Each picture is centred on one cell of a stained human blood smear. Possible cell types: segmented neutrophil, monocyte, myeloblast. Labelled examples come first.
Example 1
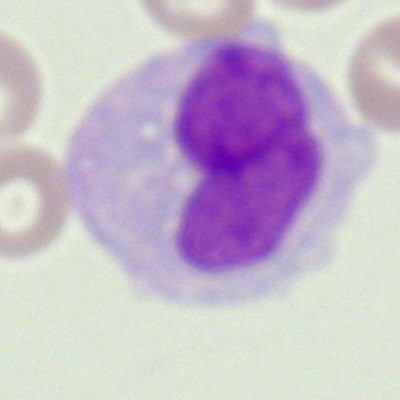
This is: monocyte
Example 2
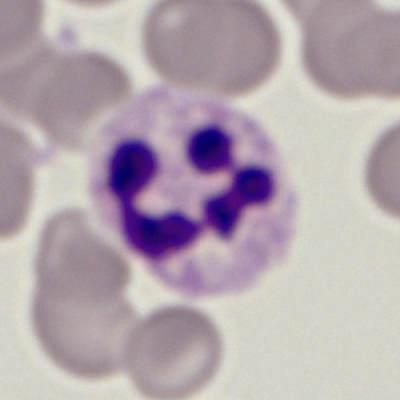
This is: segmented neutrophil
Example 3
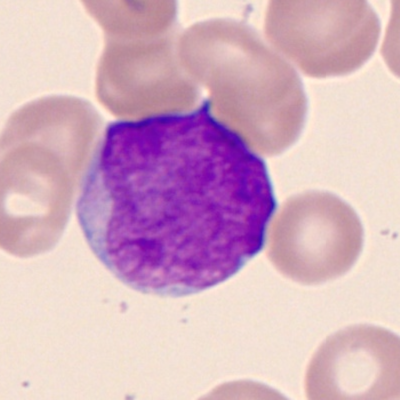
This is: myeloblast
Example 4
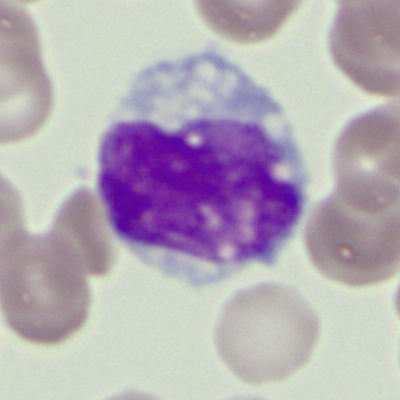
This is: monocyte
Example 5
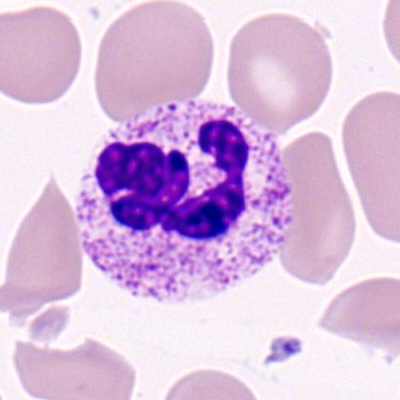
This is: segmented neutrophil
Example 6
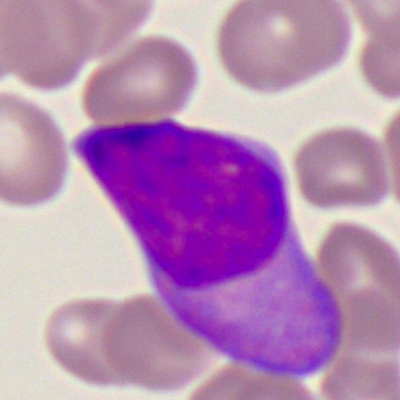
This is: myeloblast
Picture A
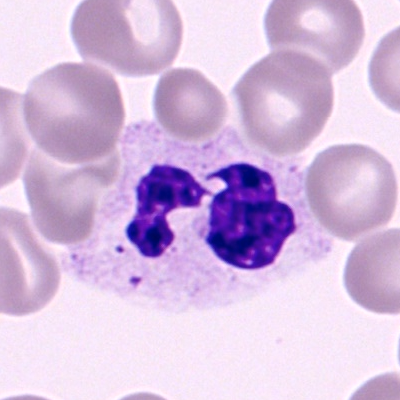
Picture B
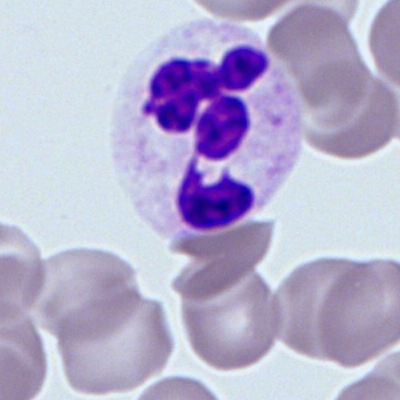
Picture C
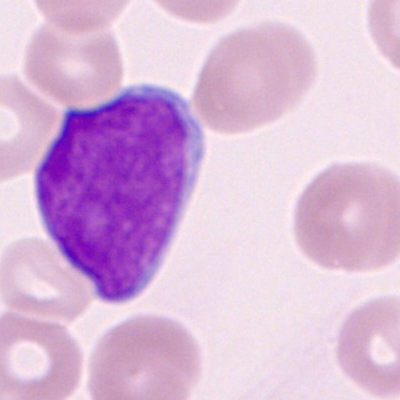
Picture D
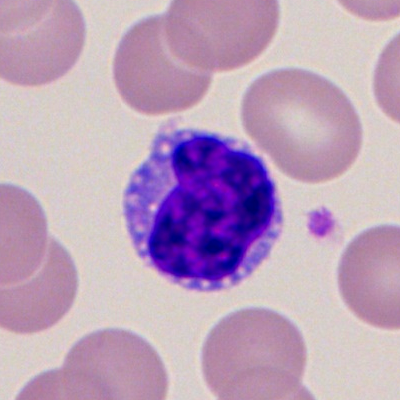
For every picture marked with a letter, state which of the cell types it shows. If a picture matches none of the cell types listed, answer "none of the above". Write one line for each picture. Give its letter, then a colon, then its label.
A: segmented neutrophil
B: segmented neutrophil
C: myeloblast
D: none of the above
